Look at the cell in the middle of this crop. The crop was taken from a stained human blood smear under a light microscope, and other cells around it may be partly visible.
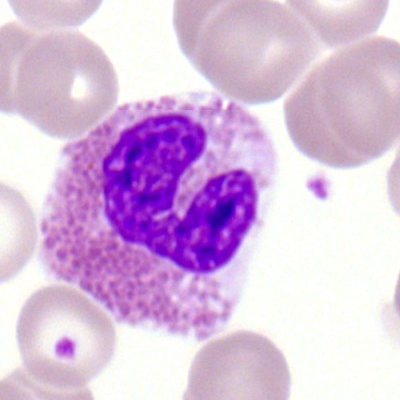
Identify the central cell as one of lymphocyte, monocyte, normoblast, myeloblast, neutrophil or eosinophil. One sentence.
The cell featured at the centre of this crop is an eosinophil.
